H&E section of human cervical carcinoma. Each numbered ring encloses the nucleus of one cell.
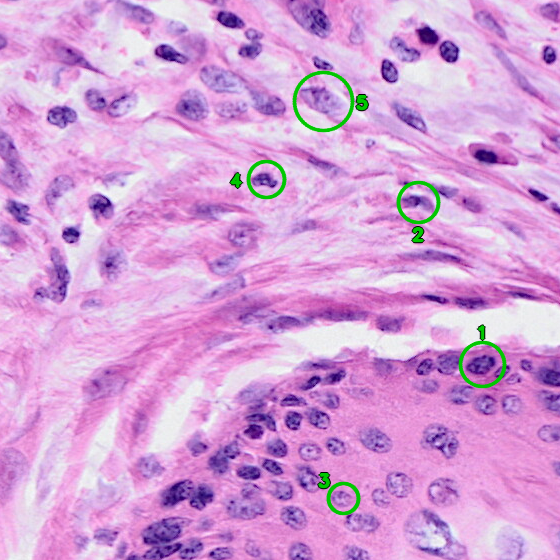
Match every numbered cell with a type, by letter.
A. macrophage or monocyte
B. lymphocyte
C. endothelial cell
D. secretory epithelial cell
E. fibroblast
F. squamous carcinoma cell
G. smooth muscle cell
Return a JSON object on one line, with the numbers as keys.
{"1": "F", "2": "E", "3": "F", "4": "B", "5": "E"}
